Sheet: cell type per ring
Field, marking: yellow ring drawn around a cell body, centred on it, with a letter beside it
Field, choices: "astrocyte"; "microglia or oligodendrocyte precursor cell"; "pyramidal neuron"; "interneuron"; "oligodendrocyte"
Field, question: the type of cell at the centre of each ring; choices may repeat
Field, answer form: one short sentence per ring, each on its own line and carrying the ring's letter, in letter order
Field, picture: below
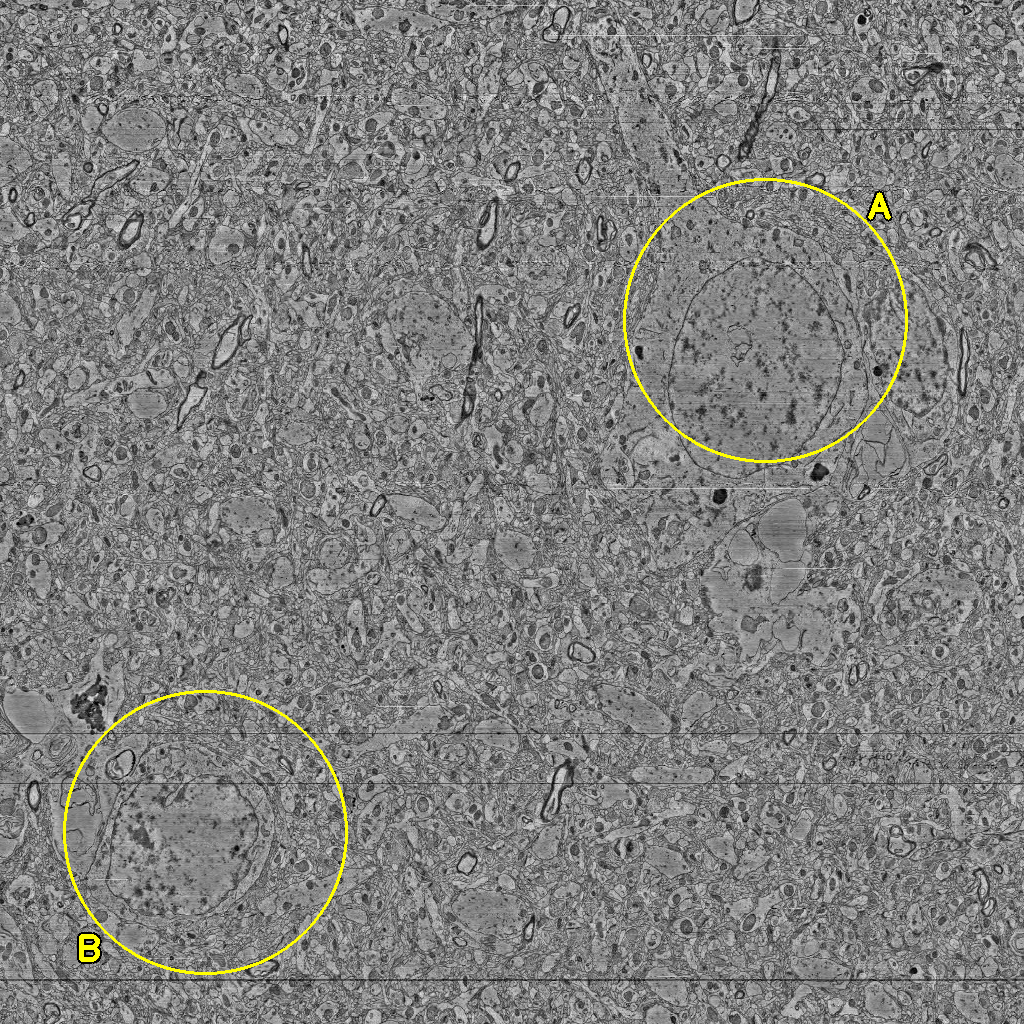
The cell body inside ring A, at its centre, is a pyramidal neuron.
The cell body inside ring B, at its centre, is an interneuron.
